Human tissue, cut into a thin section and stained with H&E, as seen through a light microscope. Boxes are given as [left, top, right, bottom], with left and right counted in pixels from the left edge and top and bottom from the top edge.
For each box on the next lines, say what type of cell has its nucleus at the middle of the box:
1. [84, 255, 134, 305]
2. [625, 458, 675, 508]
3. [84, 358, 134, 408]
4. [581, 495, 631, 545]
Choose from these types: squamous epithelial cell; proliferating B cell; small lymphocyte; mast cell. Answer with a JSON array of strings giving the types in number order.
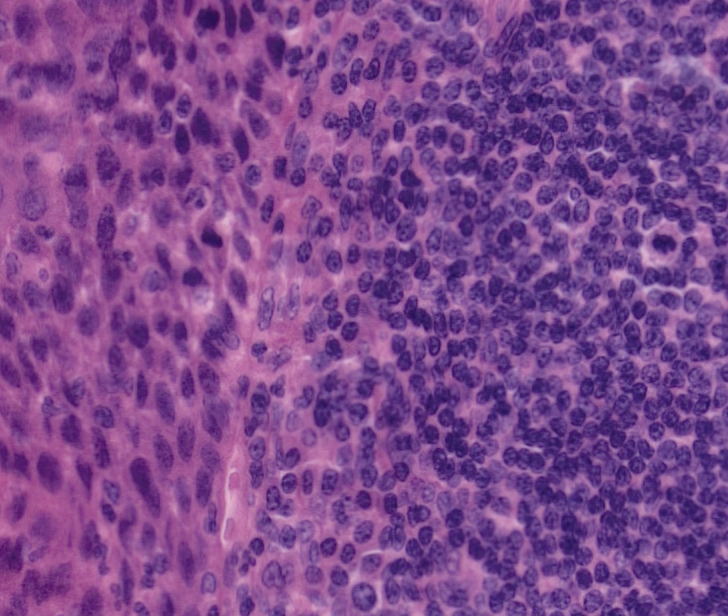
["squamous epithelial cell", "small lymphocyte", "squamous epithelial cell", "small lymphocyte"]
